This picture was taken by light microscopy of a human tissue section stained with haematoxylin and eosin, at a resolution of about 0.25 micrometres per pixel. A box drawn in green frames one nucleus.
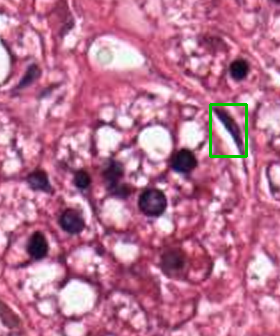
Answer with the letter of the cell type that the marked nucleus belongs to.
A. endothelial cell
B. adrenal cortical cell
A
